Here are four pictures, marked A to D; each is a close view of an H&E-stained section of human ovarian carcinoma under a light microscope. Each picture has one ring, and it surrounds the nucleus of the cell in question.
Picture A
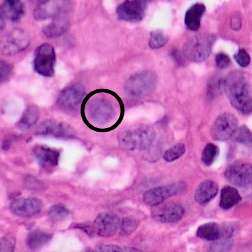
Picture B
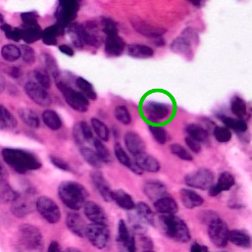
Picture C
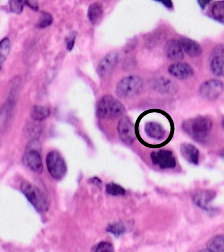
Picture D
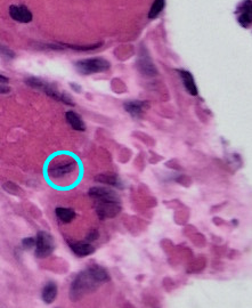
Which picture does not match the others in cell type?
D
